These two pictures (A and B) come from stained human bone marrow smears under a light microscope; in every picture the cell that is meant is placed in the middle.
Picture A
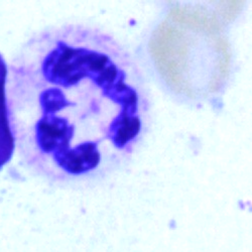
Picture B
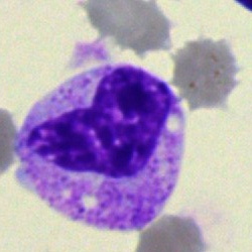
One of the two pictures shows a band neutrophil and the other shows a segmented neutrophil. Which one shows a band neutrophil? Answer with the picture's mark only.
B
